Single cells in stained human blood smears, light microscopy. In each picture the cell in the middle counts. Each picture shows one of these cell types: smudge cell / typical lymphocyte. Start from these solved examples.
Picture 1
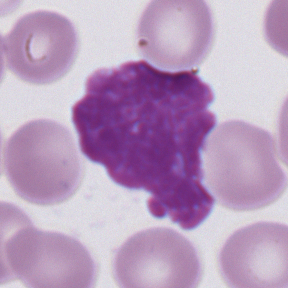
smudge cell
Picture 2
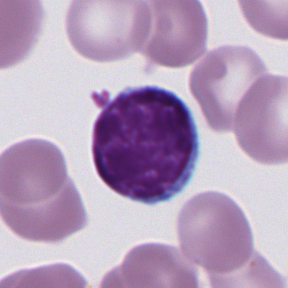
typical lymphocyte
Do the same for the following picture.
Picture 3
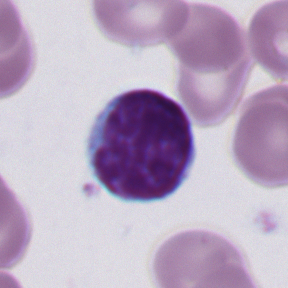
typical lymphocyte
